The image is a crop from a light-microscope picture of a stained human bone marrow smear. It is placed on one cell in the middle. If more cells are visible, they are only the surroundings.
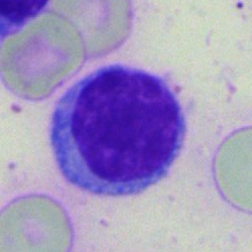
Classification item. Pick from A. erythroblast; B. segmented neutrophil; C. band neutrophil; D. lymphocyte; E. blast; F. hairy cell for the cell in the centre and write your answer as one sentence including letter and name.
The cell positioned centrally is a lymphocyte, as given in option D, which is correct.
